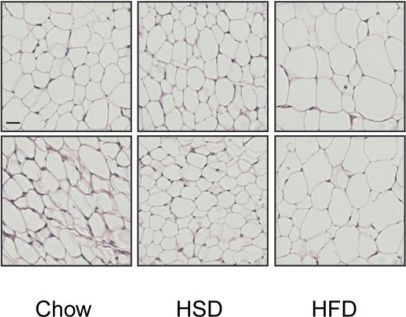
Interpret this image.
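These sections show white adipose tissue composed of adipocytes that appear as clear, round to polygonal spaces separated by thin pink membranes. Nuclei are sparse, dark and compressed at the periphery of the cells.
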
